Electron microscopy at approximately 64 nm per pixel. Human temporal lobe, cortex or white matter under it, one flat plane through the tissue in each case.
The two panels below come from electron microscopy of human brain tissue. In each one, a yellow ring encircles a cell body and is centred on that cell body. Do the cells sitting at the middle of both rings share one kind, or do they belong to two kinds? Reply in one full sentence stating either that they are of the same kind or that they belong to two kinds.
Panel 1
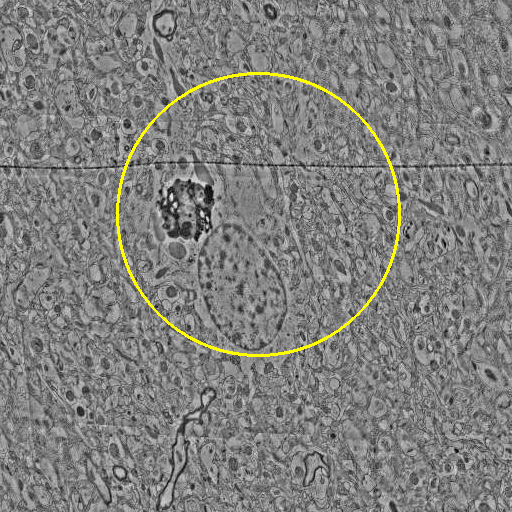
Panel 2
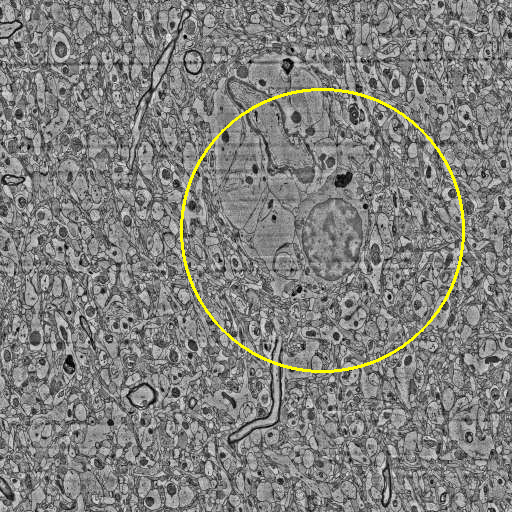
The cells at the centres of the two rings belong to two kinds.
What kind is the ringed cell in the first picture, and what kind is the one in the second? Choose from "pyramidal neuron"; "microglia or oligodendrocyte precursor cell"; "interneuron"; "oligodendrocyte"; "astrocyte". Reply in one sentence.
The first cell is an astrocyte; the second is an oligodendrocyte.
